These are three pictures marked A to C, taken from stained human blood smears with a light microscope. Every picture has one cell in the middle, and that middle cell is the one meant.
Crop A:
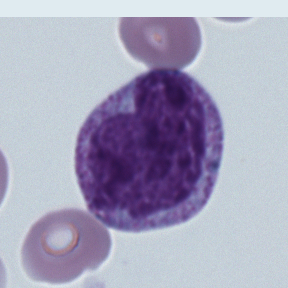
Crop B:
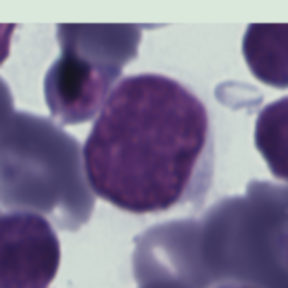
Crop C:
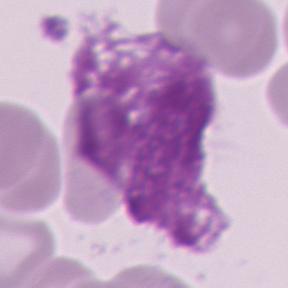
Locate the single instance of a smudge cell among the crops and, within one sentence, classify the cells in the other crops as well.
In short, crop C is a smudge cell, and crop A is an atypical promyelocyte and crop B is a myeloblast.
